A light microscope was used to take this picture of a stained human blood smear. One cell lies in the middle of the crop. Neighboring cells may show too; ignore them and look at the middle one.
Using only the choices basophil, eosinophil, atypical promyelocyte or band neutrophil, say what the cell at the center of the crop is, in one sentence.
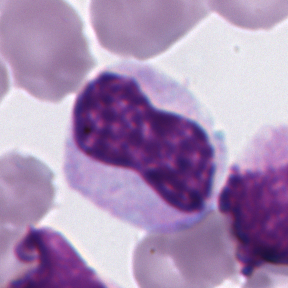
The cell at the central position in this crop is a band neutrophil.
